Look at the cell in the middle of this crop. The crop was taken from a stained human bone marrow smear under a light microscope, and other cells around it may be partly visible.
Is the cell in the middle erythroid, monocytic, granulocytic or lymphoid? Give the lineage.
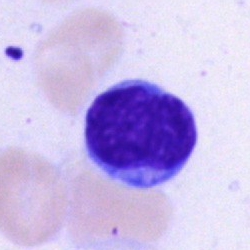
lymphoid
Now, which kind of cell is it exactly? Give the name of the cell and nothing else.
lymphocyte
